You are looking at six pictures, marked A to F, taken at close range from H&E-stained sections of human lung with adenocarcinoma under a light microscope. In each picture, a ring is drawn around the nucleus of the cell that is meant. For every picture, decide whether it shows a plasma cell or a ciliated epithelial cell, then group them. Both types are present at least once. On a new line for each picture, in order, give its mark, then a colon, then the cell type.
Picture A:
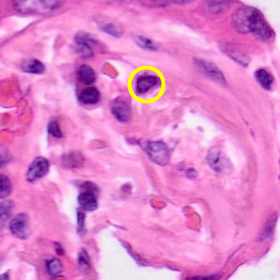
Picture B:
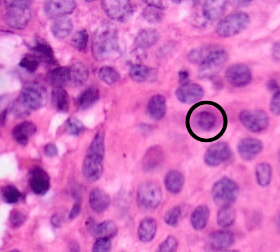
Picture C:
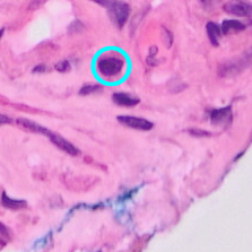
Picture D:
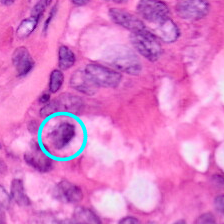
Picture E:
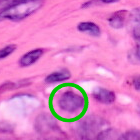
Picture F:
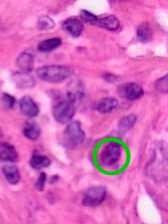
A: plasma cell
B: plasma cell
C: plasma cell
D: ciliated epithelial cell
E: ciliated epithelial cell
F: plasma cell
